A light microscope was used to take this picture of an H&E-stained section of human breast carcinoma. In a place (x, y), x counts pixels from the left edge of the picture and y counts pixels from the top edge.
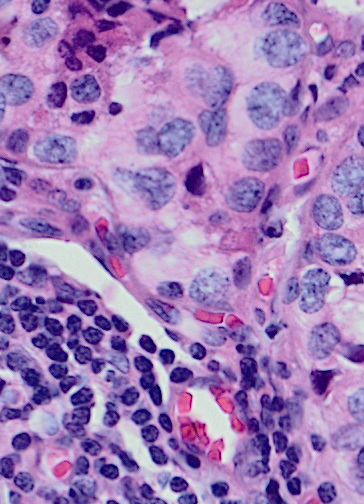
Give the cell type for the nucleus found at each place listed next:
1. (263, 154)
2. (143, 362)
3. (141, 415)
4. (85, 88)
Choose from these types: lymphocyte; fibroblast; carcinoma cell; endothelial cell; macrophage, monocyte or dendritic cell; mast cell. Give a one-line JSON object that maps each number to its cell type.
{"1": "carcinoma cell", "2": "lymphocyte", "3": "lymphocyte", "4": "carcinoma cell"}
